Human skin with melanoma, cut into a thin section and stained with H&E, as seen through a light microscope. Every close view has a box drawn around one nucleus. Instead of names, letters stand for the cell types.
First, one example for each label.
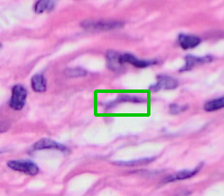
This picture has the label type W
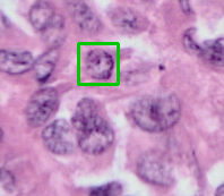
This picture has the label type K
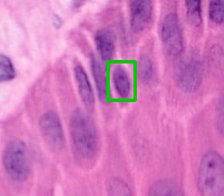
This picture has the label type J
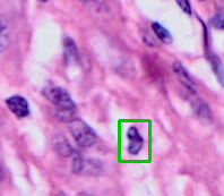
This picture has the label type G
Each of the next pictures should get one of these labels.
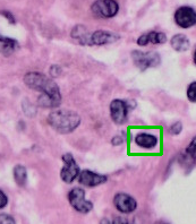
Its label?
type G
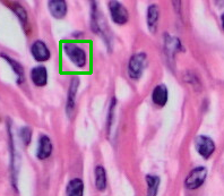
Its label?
type G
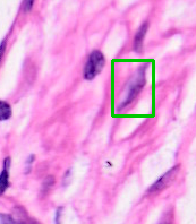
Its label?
type W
